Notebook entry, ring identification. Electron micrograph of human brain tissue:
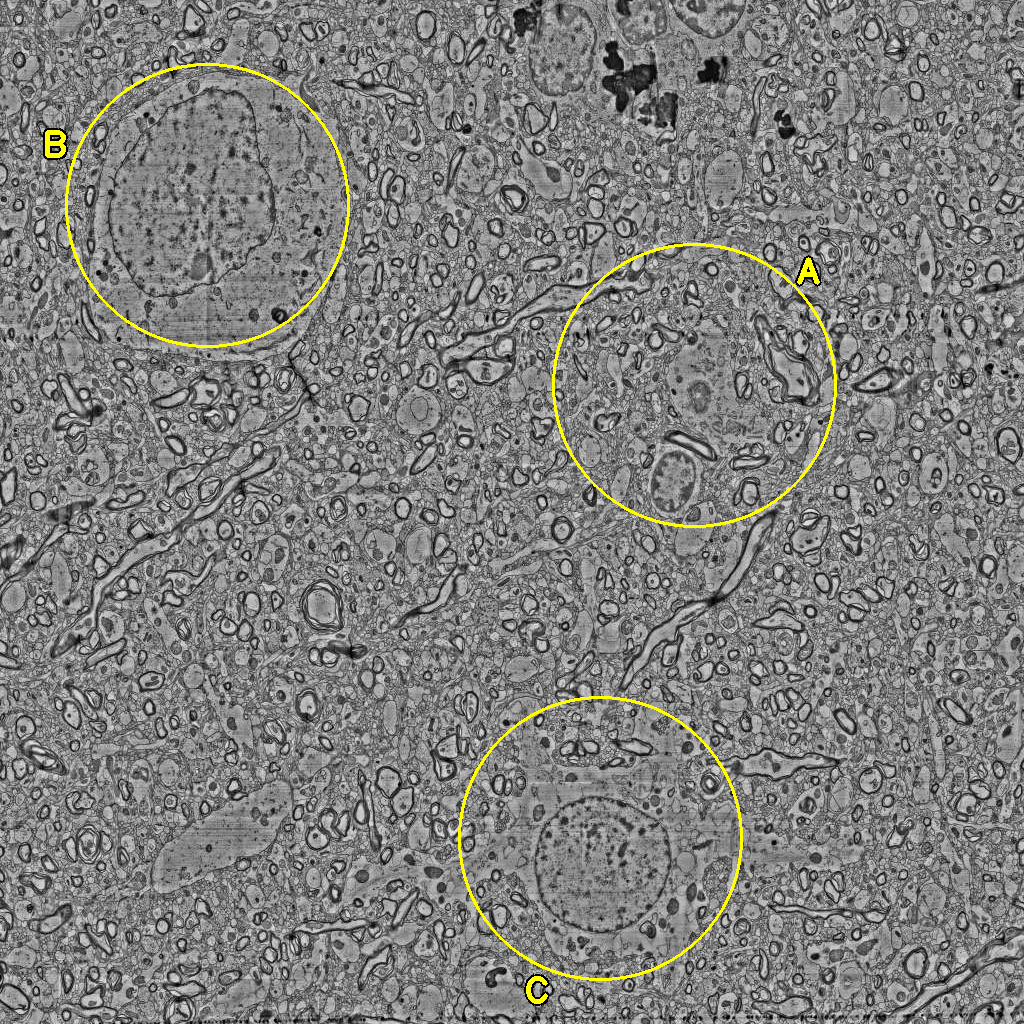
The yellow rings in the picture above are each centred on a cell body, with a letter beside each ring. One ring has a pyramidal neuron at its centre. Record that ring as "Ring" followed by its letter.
Ring B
